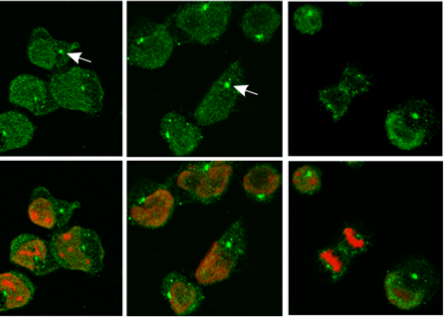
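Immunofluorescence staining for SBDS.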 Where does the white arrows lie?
perinuclear region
